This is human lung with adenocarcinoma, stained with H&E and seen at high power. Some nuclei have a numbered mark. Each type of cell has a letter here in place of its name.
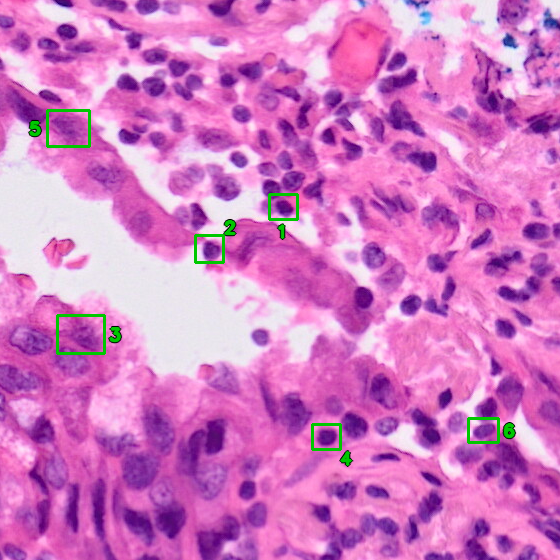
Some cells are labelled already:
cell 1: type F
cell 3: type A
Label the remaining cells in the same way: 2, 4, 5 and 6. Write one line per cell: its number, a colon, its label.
2: type F
4: type F
5: type A
6: type F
